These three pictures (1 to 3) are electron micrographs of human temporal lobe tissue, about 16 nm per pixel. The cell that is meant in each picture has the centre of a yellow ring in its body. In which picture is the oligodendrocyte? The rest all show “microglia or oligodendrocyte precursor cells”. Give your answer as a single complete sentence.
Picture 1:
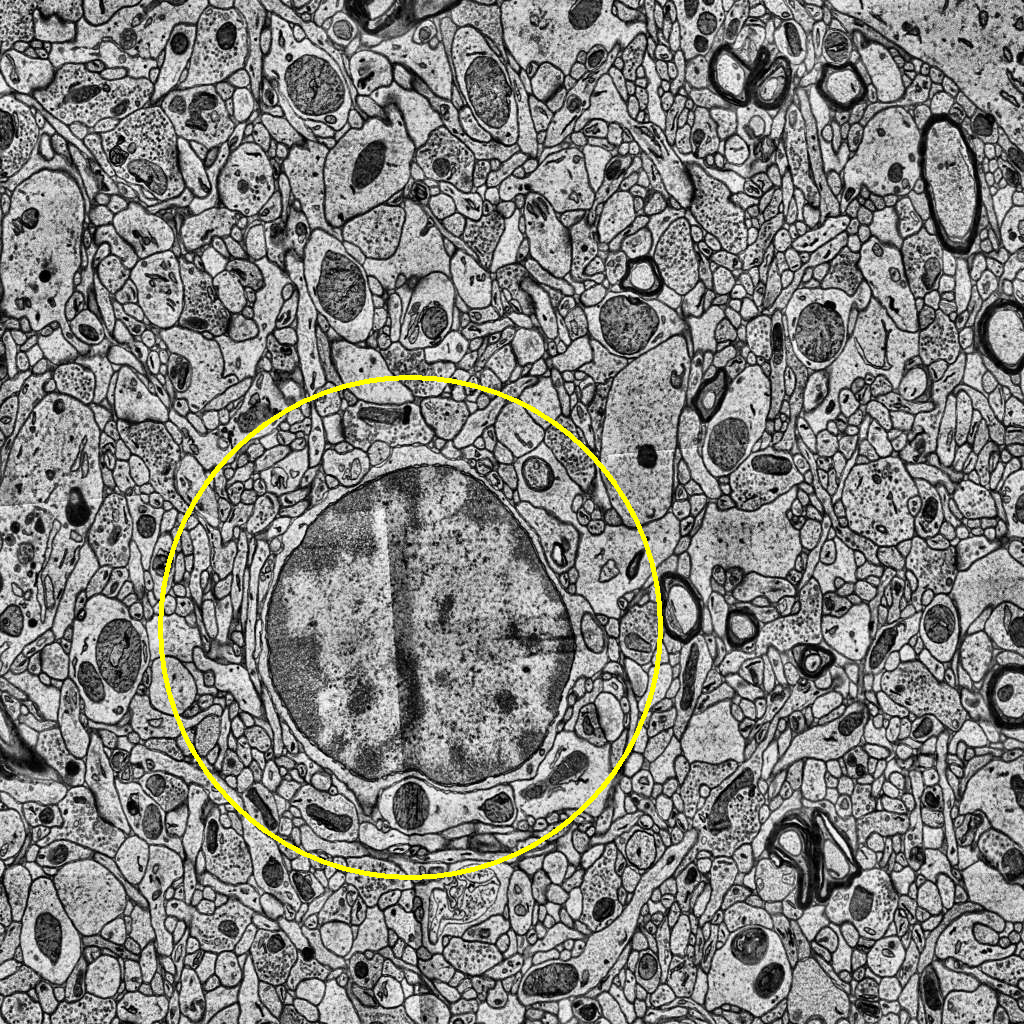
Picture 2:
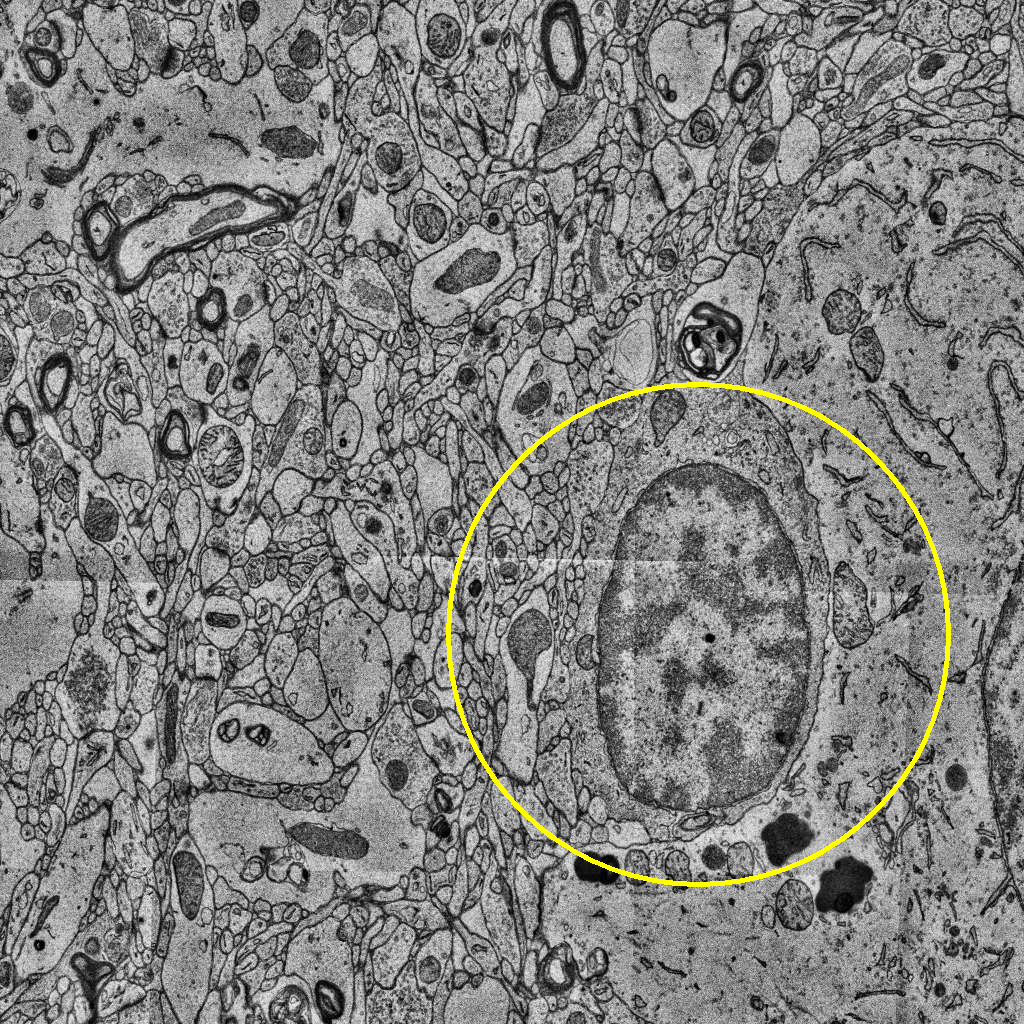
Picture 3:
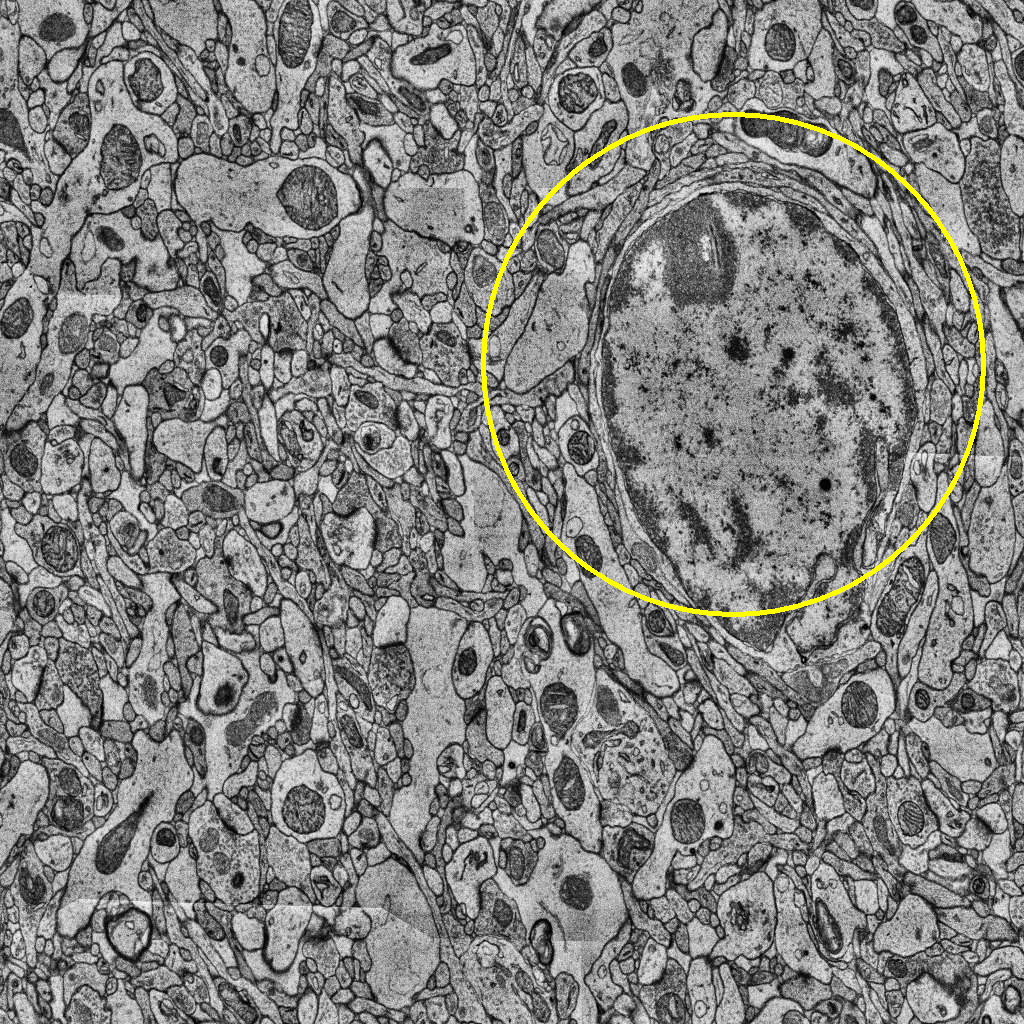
The oligodendrocyte is the one in picture 2.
